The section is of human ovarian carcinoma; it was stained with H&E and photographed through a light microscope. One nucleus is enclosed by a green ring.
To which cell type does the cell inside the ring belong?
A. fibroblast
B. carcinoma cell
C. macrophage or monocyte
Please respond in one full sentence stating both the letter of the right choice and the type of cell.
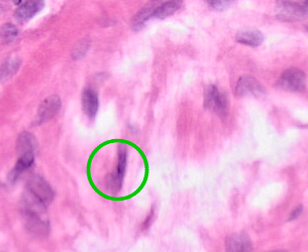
The correct option, A, describes the cell inside the ring as a fibroblast.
